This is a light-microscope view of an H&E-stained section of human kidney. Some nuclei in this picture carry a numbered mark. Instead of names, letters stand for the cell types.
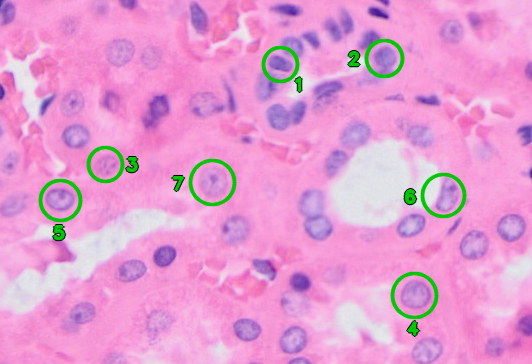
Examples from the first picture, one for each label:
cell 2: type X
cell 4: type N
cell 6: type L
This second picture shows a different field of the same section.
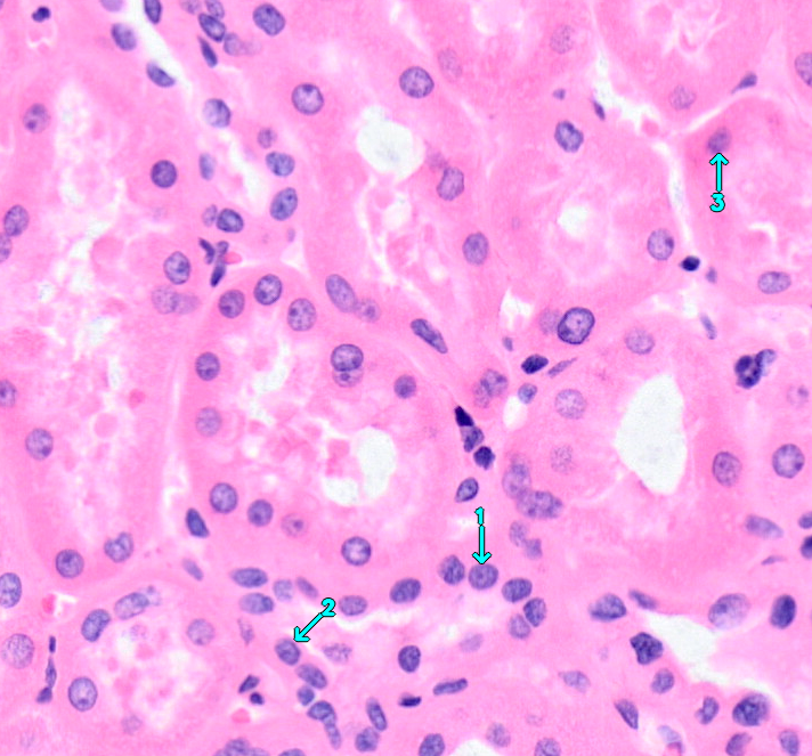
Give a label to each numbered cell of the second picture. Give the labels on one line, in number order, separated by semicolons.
type X; type X; type N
